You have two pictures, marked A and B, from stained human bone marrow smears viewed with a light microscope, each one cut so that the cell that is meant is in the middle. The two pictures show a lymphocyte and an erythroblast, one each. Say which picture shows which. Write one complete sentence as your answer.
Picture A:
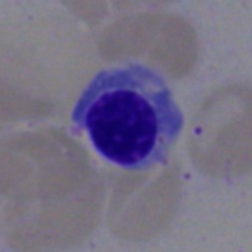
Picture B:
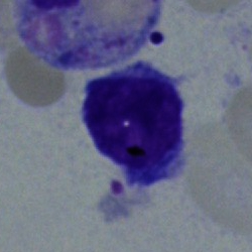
Picture A is of an erythroblast, and picture B is of a lymphocyte.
